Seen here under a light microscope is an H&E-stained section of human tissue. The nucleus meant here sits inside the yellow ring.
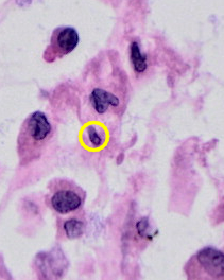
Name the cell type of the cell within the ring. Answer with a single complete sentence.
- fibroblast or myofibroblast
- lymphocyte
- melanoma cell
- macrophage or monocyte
As to its cell type, the cell within the ring is a macrophage or monocyte.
